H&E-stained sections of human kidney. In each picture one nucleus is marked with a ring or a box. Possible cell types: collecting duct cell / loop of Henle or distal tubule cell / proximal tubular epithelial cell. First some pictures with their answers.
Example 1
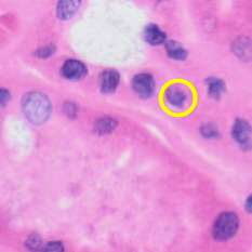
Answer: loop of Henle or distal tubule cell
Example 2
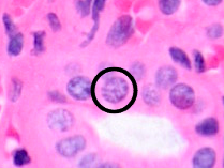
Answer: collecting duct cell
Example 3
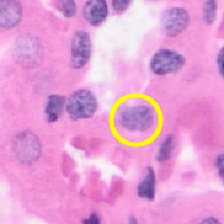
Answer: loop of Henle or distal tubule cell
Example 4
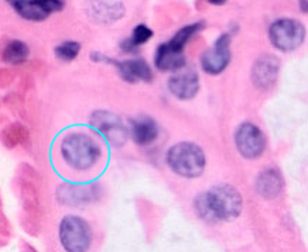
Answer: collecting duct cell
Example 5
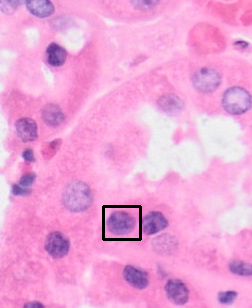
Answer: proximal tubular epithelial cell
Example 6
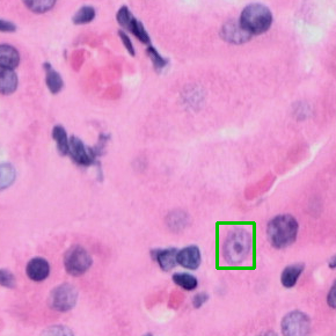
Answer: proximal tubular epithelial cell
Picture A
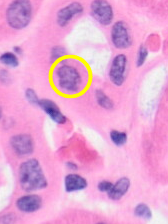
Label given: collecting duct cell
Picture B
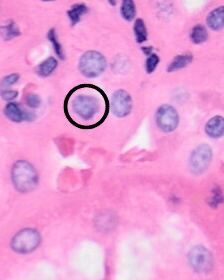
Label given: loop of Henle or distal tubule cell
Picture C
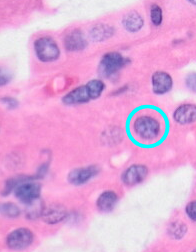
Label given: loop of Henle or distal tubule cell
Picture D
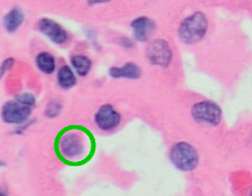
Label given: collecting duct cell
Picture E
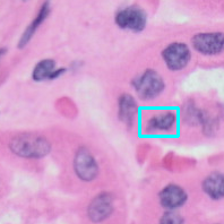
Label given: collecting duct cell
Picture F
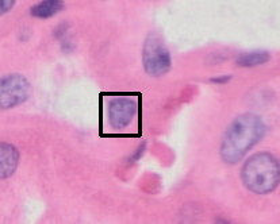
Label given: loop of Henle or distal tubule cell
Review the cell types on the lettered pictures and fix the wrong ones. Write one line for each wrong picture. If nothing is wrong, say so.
D: loop of Henle or distal tubule cell, not collecting duct cell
